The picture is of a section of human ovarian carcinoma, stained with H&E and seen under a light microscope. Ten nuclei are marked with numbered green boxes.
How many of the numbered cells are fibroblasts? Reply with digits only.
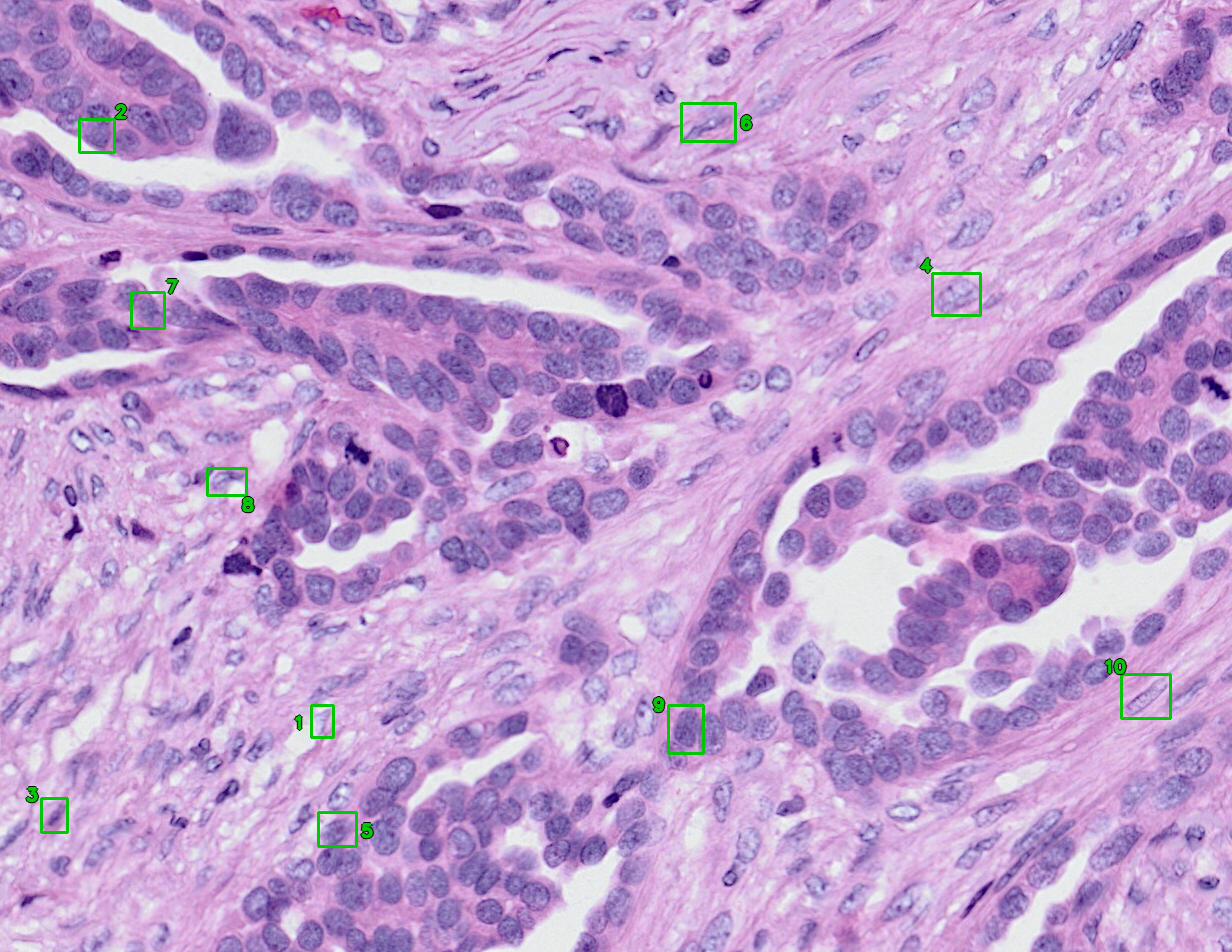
6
